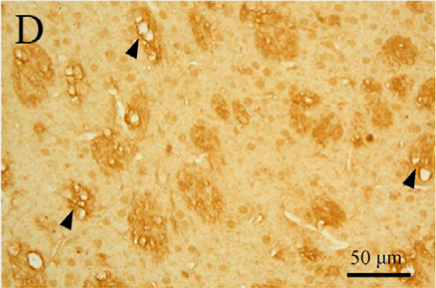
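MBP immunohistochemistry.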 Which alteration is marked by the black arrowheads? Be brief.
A: Vacuoles.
